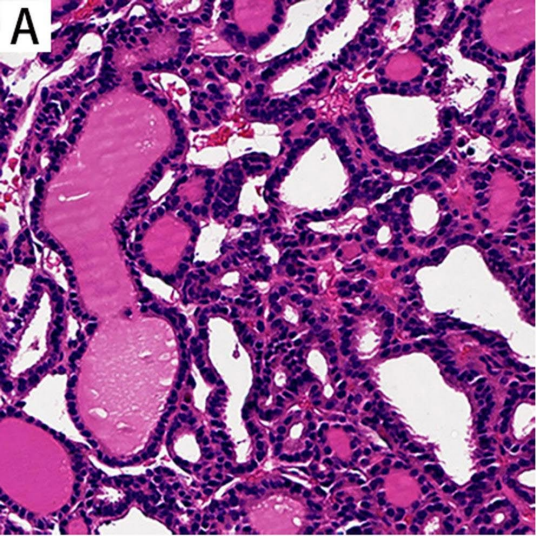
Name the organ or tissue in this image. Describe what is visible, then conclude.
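Round to elongated follicles of varying size filled with homogeneous pink material. Follicles are lined by a single layer of small epithelial cells with dark round nuclei. Thin stroma with red blood cells lies between the follicles.
Conclusion: thyroid tissue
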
